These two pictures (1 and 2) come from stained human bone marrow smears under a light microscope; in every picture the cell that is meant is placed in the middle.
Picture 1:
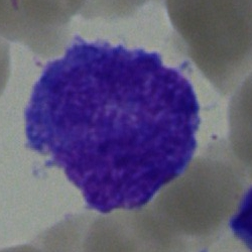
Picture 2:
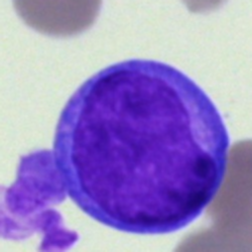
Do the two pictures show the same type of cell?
yes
